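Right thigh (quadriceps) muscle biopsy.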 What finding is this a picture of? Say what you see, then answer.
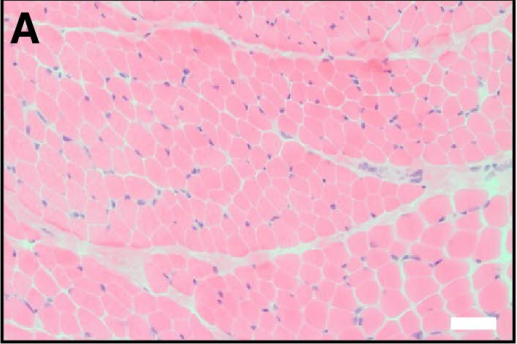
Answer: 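Pink polygonal fibres in cross section differ somewhat in size. Some fibres are noticeably smaller than their neighbours.
Hence: mild variation in myofibre diameters.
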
